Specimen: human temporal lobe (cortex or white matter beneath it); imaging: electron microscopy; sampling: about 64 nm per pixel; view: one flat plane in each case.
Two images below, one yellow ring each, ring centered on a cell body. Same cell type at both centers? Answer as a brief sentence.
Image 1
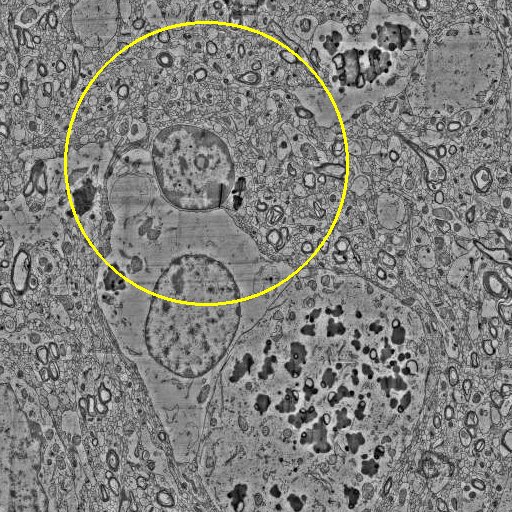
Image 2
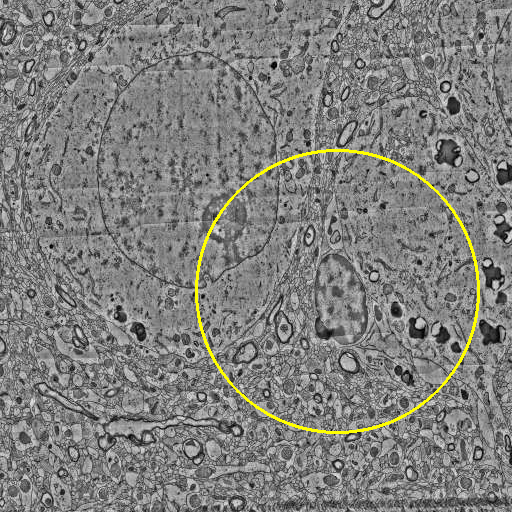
Yes, both cells are of the same type.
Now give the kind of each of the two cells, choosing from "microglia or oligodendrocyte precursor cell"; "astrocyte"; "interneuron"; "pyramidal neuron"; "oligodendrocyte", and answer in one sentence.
In each of the two pictures, the ringed cell is a microglial cell or oligodendrocyte precursor cell.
